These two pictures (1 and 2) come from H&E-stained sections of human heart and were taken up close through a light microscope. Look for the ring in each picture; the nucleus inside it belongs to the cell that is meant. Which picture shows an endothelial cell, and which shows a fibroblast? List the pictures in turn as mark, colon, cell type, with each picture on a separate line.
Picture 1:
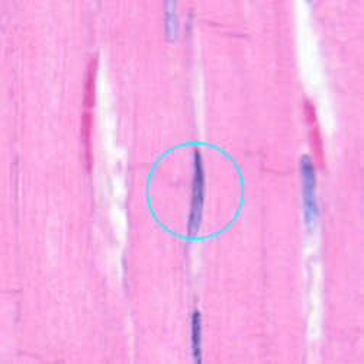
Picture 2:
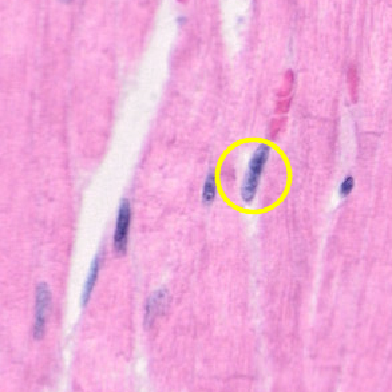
1: endothelial cell
2: fibroblast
